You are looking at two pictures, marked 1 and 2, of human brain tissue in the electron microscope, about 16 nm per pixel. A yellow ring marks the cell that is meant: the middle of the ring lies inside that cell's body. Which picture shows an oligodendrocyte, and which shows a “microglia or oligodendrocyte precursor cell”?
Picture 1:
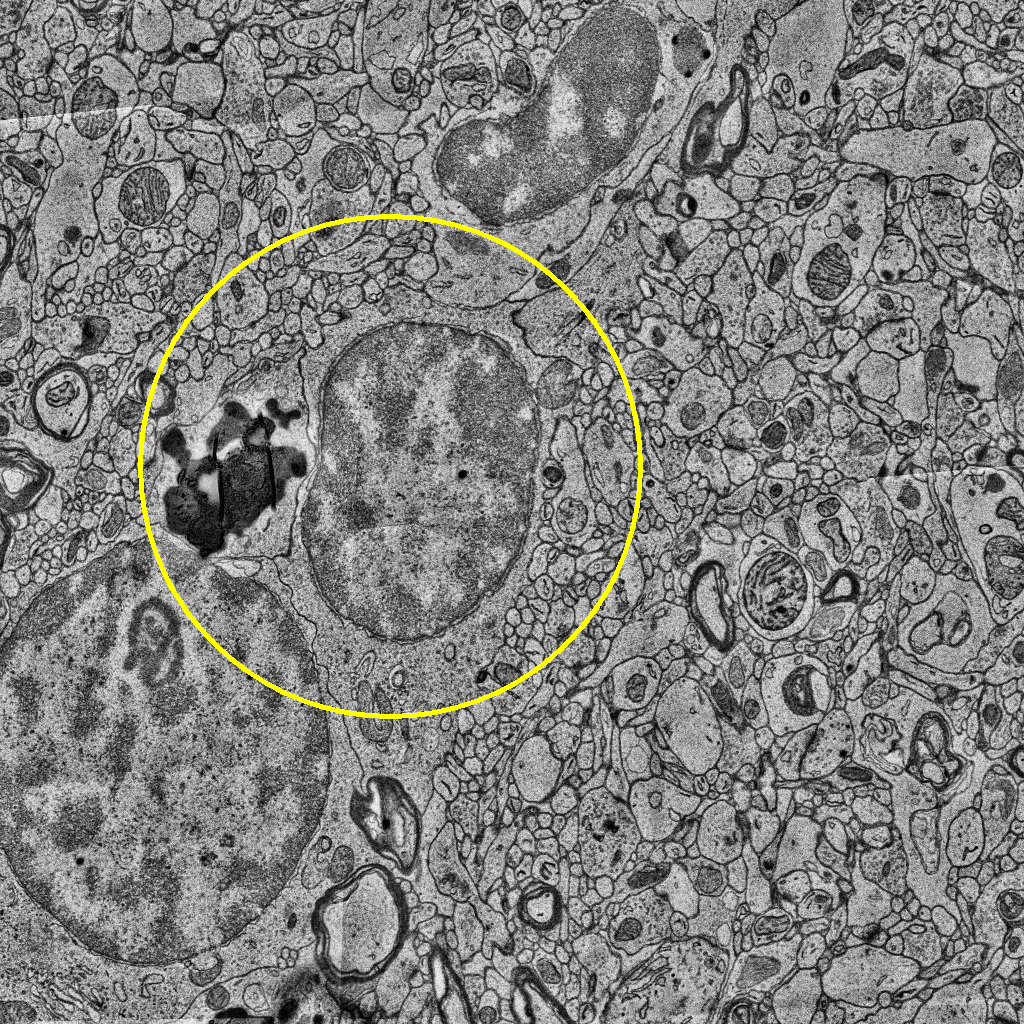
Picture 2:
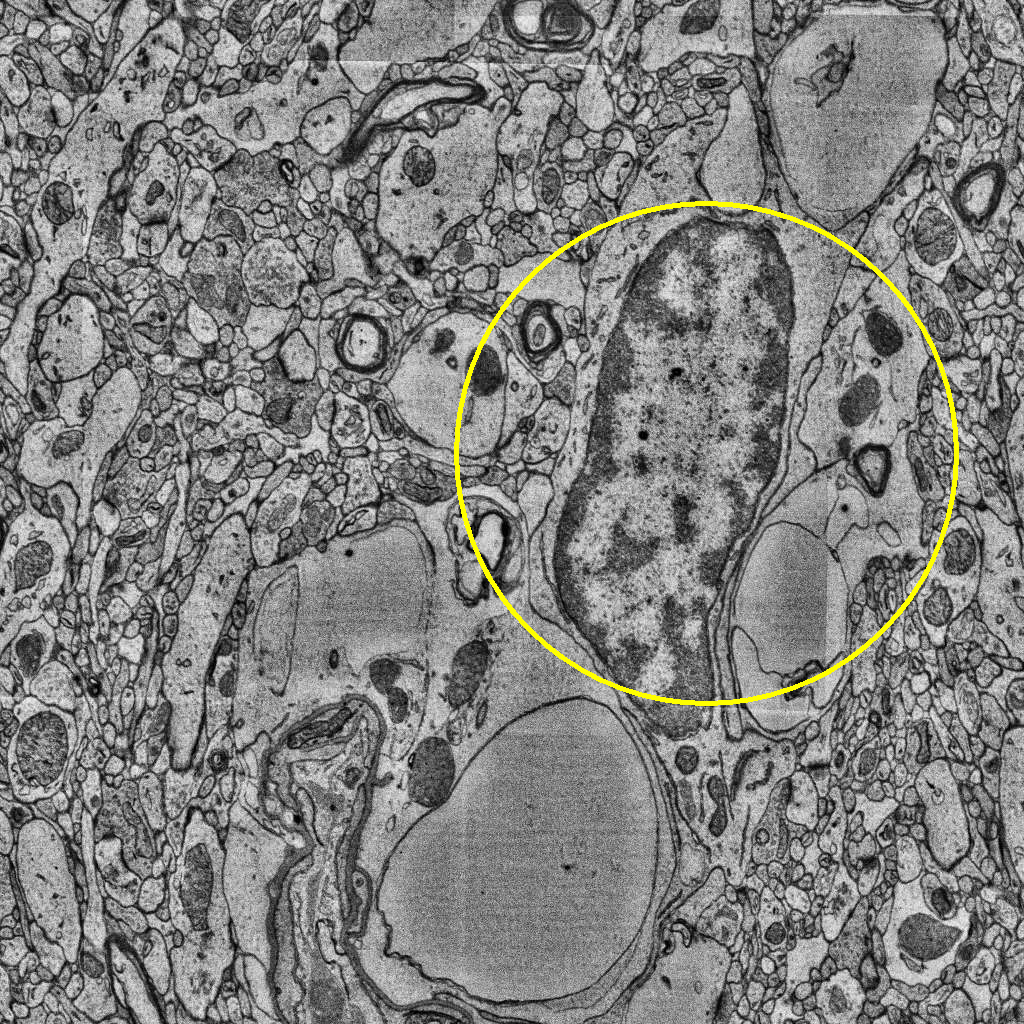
Picture 1 is of an oligodendrocyte, and picture 2 is of a “microglia or oligodendrocyte precursor cell”.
